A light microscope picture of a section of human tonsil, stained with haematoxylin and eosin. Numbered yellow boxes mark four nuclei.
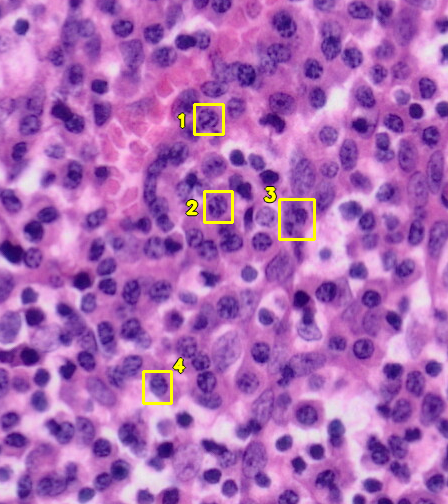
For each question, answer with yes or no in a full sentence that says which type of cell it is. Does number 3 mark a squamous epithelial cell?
Yes, that is so; number 3 marks a squamous epithelial cell.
